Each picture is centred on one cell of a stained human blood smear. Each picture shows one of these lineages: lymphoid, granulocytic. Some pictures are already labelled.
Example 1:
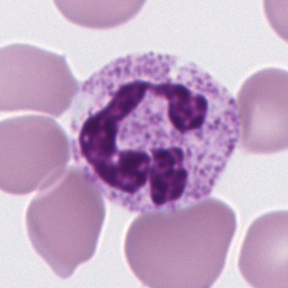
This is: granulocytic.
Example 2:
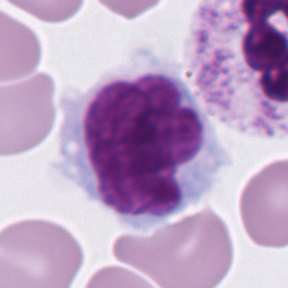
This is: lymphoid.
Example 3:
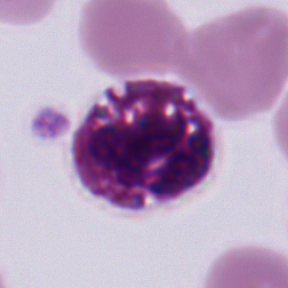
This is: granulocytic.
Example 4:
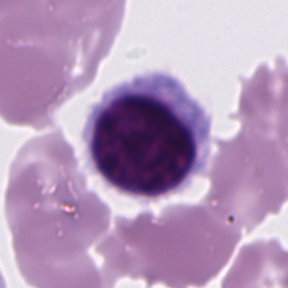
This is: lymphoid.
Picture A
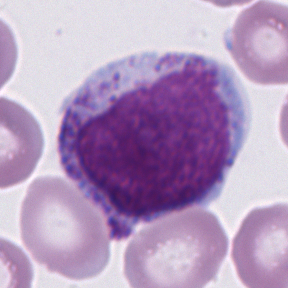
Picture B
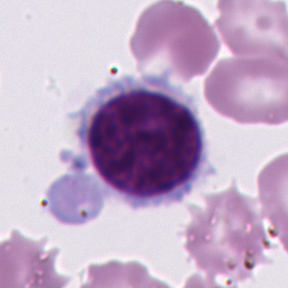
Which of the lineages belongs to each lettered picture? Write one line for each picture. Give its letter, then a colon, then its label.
A: granulocytic.
B: lymphoid.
